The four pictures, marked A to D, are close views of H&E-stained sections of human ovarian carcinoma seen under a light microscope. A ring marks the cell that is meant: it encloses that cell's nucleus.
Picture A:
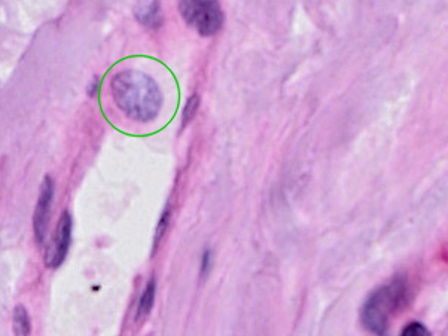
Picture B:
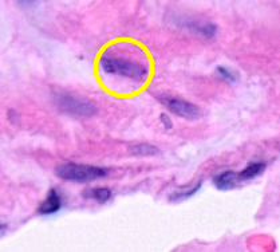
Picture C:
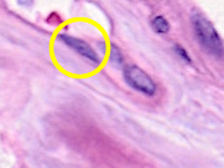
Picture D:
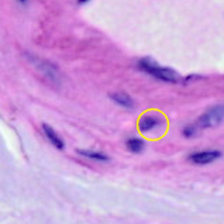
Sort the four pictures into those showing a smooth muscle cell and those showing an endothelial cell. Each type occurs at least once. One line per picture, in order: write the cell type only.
endothelial cell
smooth muscle cell
endothelial cell
smooth muscle cell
